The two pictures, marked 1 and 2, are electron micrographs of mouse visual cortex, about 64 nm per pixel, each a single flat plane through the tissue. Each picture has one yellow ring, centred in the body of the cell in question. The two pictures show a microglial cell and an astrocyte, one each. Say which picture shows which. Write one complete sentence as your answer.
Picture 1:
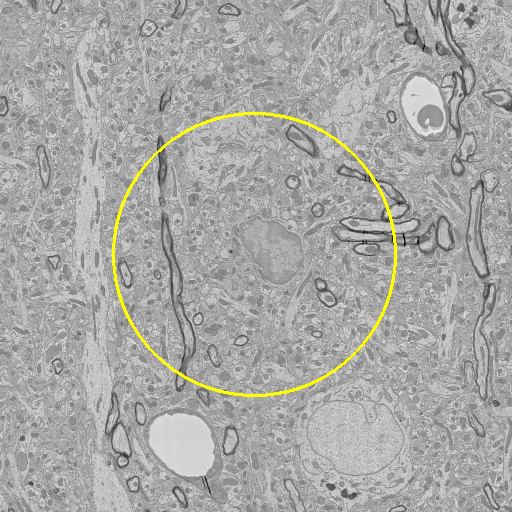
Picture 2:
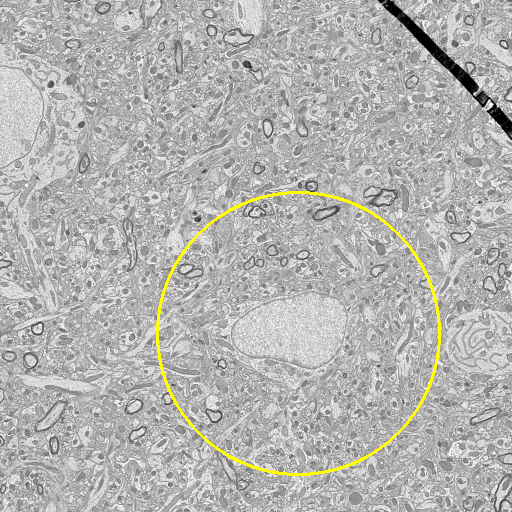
Picture 1 is of a microglial cell, and picture 2 is of an astrocyte.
